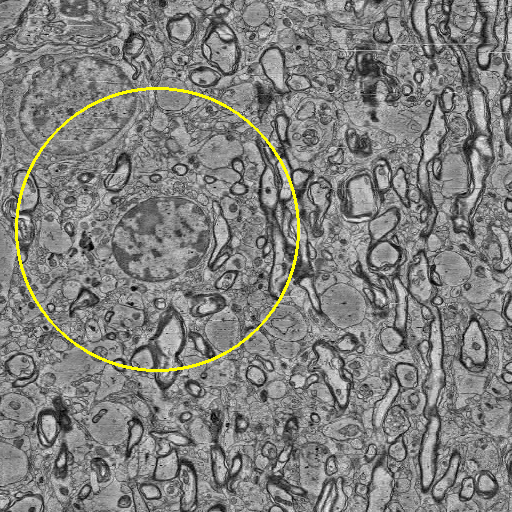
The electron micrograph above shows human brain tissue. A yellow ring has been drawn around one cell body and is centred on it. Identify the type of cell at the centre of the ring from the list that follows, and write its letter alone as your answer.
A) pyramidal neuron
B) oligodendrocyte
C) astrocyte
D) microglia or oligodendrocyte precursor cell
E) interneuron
D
